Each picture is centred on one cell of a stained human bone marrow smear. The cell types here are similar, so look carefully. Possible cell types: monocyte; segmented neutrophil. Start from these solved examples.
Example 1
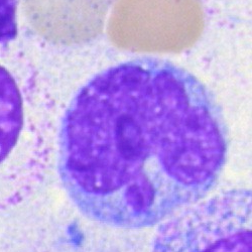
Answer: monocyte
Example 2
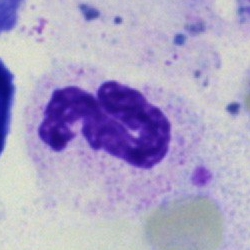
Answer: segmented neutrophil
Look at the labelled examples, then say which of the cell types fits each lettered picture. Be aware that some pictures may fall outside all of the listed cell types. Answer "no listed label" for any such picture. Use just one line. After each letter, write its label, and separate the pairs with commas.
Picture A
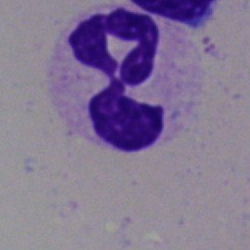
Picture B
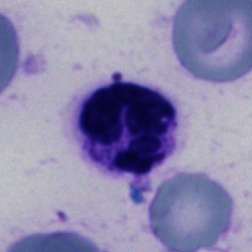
A segmented neutrophil, B segmented neutrophil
